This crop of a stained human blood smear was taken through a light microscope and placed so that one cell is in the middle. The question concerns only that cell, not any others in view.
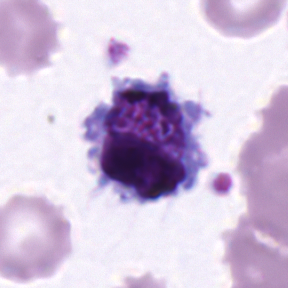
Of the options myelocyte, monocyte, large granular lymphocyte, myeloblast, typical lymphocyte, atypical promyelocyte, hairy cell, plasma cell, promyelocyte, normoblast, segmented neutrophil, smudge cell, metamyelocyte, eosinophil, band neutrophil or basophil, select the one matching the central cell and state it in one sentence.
The cell at the centre of the field is a plasma cell.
